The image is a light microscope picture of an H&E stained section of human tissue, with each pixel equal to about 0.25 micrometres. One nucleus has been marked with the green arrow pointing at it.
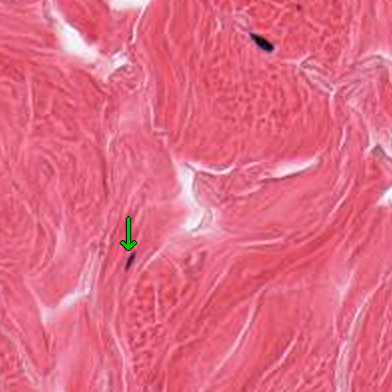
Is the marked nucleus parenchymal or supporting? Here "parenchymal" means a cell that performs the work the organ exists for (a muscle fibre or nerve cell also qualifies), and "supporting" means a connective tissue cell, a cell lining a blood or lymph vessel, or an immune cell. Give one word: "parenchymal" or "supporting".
supporting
